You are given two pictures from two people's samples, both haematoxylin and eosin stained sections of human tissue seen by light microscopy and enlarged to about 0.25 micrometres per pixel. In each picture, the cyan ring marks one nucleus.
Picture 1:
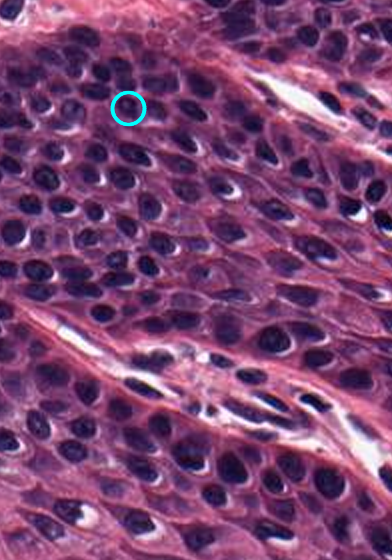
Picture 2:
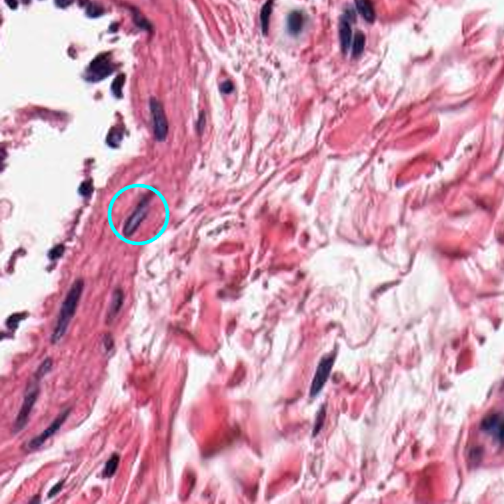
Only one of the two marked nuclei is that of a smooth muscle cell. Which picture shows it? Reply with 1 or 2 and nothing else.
2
